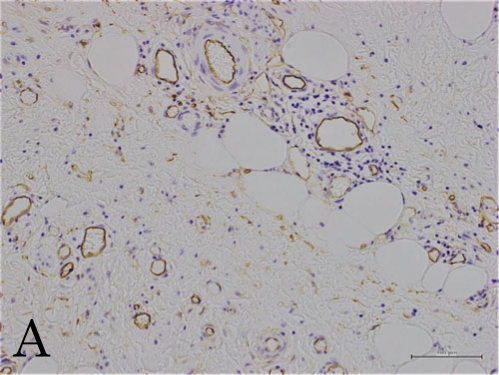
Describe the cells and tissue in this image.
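Connective tissue with many small vessels whose vascular endothelium is outlined by a thin brown line. The brown layer lines the inner surface of round and oval lumens of varying size scattered across the field; some larger vessels have a paler wall outside the brown lining. Small blue nuclei are dispersed in the pale fibrous stroma, with a denser cluster of small dark nuclei around a group of vessels near the top. Large clear rounded spaces, resembling fat cells, lie among the vessels, mostly in the upper and right parts of the field.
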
